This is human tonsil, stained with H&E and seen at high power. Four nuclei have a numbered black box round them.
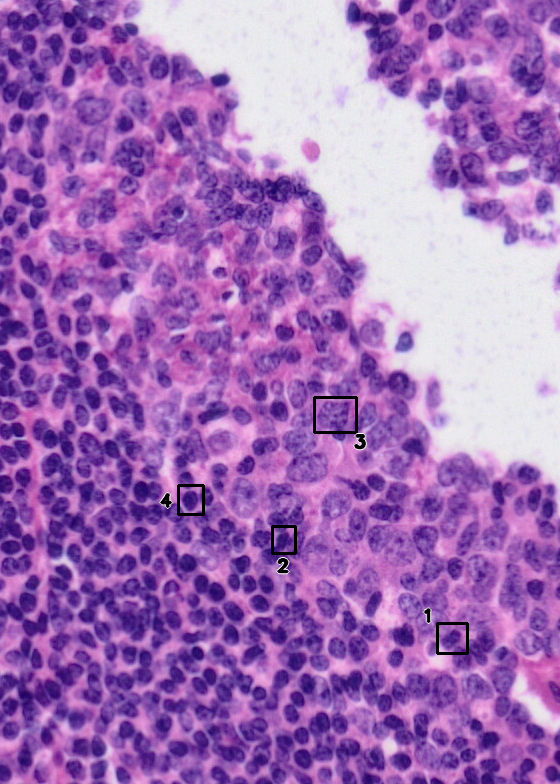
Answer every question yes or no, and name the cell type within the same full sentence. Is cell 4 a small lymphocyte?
Yes, to put it simply, cell number 4 is a small lymphocyte.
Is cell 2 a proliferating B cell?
No, the nucleus numbered 2 belongs to a small lymphocyte, not a proliferating B cell.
